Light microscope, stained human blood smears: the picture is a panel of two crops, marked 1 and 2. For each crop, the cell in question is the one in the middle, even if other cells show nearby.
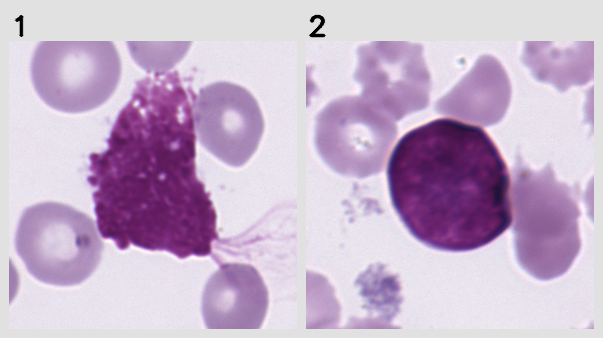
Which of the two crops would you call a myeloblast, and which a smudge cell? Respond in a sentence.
Represented in crop 1 is a smudge cell; represented in crop 2 is a myeloblast.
